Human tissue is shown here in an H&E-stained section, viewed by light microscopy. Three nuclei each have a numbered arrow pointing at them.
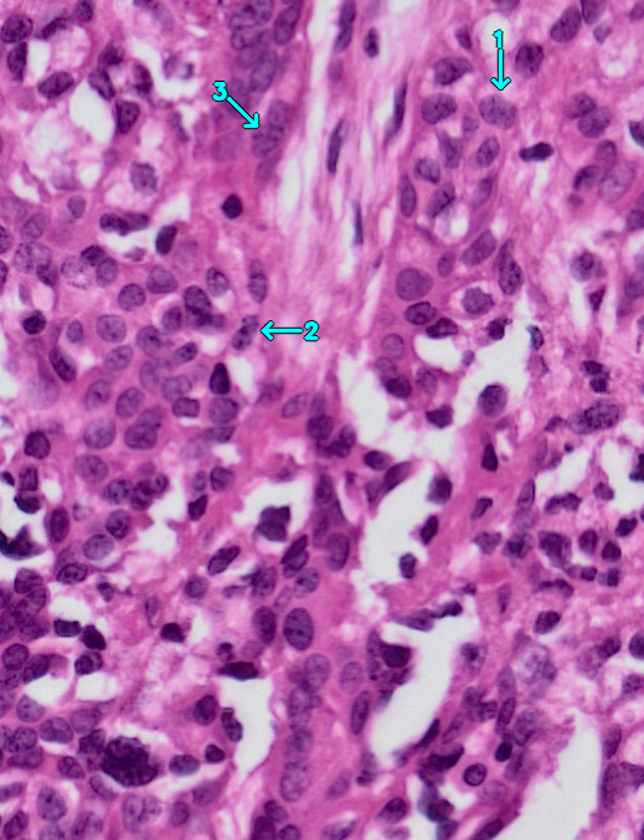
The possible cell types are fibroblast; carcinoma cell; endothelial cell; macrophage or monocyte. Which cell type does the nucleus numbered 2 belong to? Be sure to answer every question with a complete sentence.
It is as a macrophage or monocyte that the cell numbered 2 is identified.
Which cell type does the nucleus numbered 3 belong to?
It is as a carcinoma cell that the cell numbered 3 is identified.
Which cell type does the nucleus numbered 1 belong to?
Identified as a carcinoma cell is the cell bearing the number 1.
